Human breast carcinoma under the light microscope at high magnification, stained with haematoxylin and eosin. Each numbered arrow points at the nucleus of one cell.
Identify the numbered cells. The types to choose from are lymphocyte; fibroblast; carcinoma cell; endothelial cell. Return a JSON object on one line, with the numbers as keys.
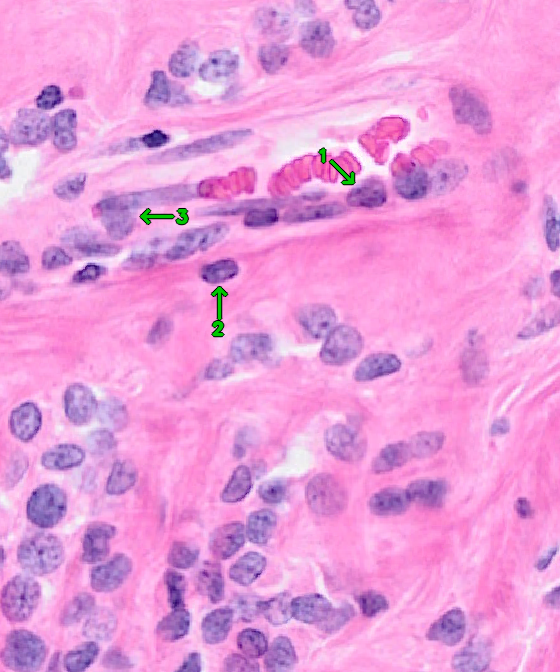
{"1": "endothelial cell", "2": "lymphocyte", "3": "endothelial cell"}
